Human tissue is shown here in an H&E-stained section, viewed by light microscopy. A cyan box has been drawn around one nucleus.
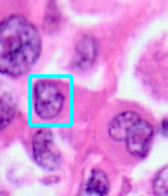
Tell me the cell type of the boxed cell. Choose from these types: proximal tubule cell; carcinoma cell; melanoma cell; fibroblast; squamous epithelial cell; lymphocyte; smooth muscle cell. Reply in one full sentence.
To be brief about it, the boxed cell is a melanoma cell.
